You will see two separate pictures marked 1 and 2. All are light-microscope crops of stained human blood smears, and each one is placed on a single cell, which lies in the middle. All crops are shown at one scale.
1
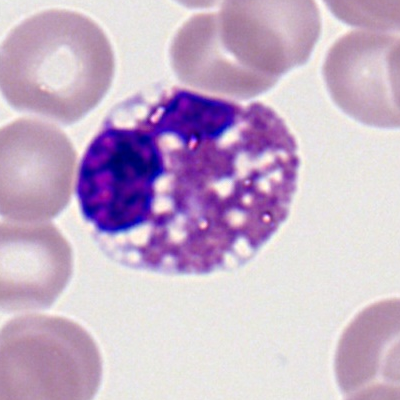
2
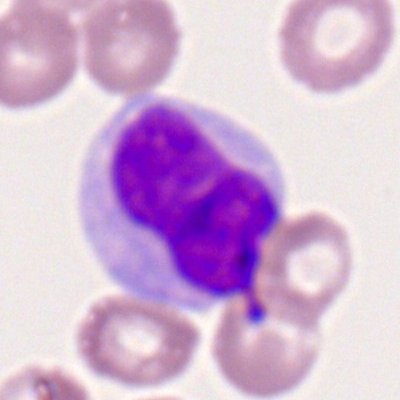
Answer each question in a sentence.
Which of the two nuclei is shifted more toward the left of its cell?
It is the nucleus in crop 1 that lies further toward the left of its cell.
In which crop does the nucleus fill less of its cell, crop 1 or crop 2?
The nucleus fills less of the cell in crop 1 than in crop 2.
